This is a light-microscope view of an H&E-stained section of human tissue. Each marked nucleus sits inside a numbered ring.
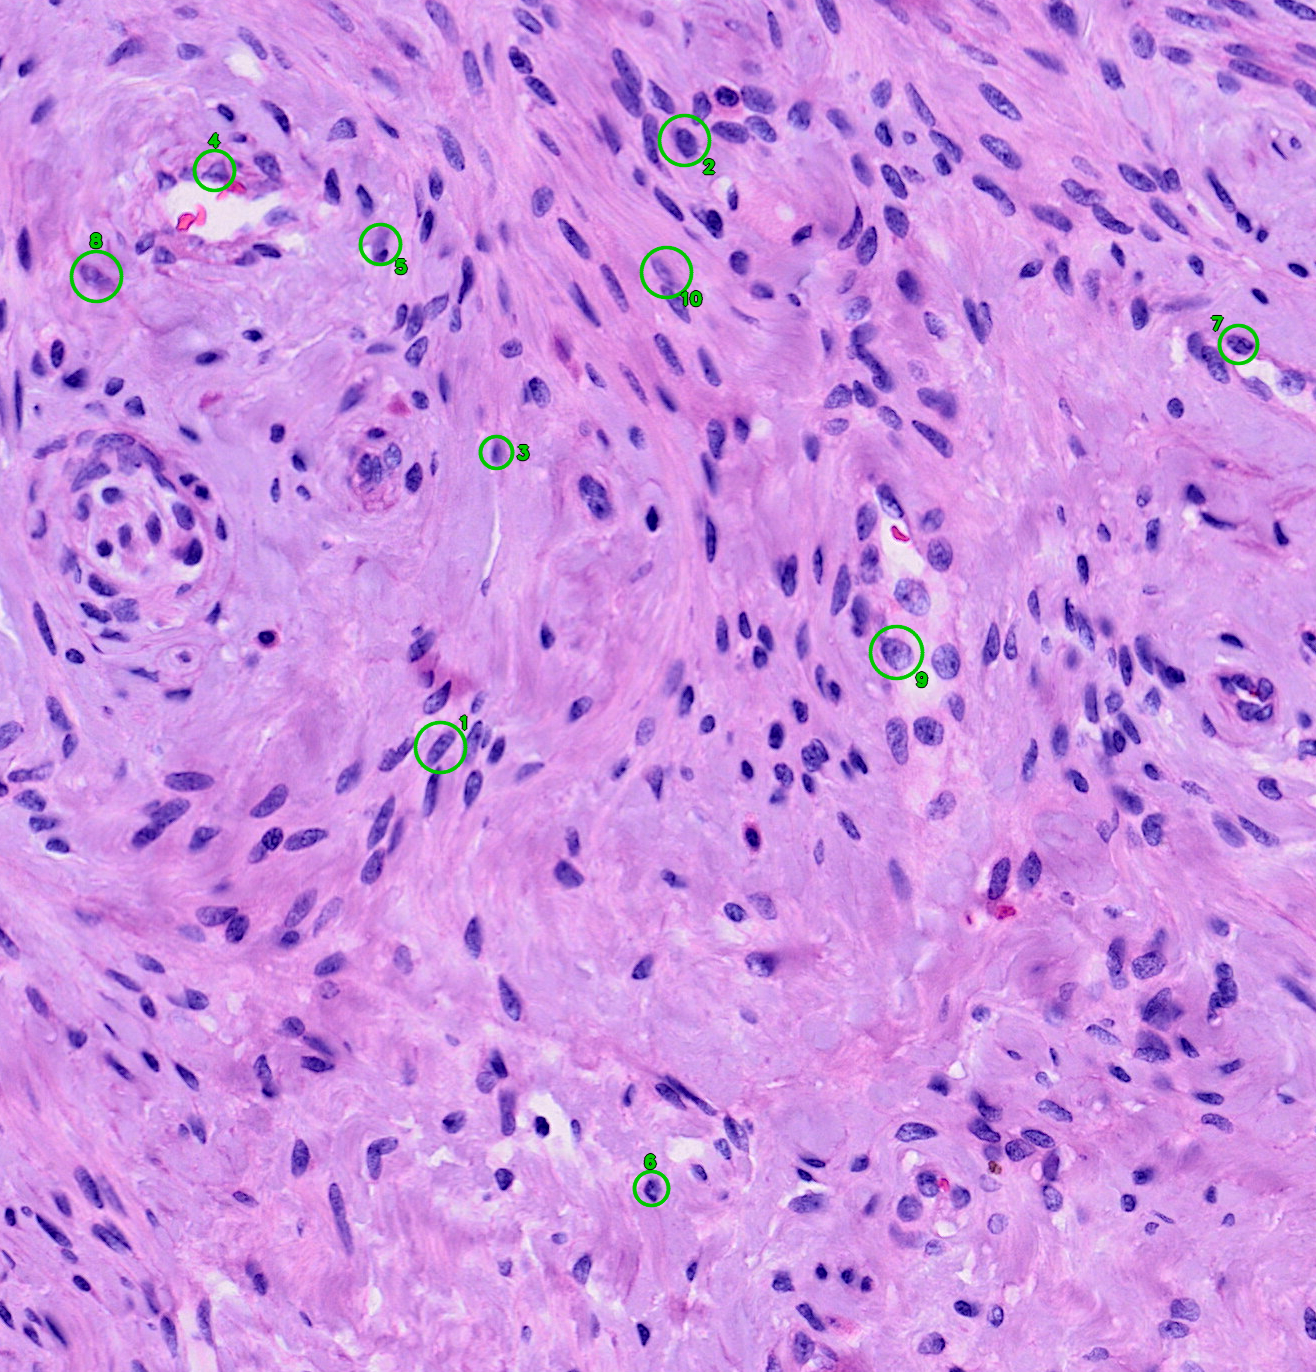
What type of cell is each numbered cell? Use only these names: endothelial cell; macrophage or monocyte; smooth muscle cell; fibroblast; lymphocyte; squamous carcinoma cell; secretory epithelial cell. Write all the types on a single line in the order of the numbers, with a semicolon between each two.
fibroblast; fibroblast; fibroblast; endothelial cell; fibroblast; fibroblast; endothelial cell; smooth muscle cell; endothelial cell; fibroblast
